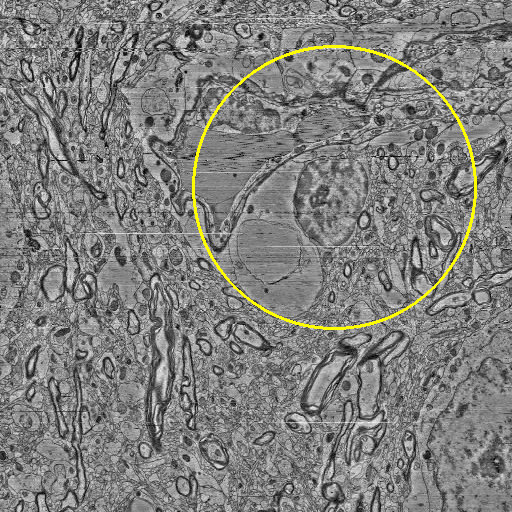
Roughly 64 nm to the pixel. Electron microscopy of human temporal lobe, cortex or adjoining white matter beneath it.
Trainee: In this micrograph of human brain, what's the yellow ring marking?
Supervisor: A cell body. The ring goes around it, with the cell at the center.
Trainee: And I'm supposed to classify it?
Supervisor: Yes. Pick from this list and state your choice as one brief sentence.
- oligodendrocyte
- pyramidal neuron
The cell at the ring's center is an oligodendrocyte.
